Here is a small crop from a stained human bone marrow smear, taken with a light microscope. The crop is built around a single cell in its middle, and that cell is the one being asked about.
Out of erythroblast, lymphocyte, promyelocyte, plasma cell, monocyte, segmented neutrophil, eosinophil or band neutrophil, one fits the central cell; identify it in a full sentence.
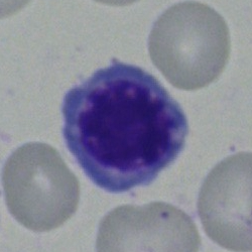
Present in the middle of the crop is an erythroblast.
